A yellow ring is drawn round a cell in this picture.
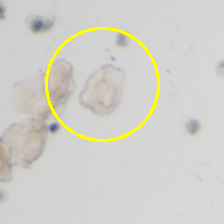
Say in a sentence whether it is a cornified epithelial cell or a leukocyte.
The cell in the ring is a cornified epithelial cell.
